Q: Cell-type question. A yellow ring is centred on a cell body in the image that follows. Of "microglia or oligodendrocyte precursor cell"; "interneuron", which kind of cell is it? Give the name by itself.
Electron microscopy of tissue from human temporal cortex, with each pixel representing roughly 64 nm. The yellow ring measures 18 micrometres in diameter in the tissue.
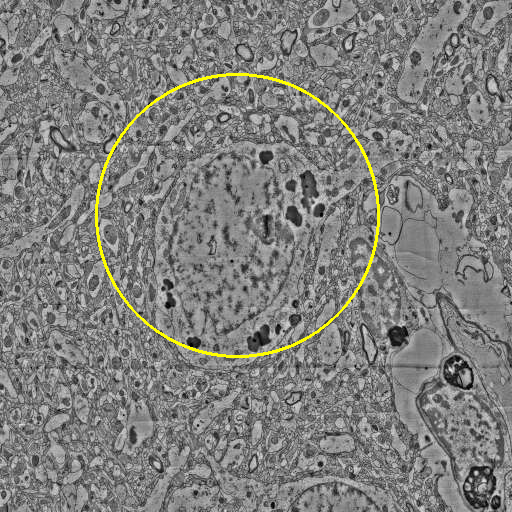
interneuron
